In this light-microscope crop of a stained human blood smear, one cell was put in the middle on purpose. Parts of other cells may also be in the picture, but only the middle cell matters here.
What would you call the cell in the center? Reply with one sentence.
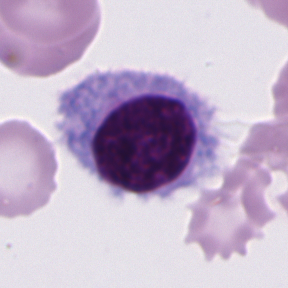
As for the cell in the middle, it is a hairy cell.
